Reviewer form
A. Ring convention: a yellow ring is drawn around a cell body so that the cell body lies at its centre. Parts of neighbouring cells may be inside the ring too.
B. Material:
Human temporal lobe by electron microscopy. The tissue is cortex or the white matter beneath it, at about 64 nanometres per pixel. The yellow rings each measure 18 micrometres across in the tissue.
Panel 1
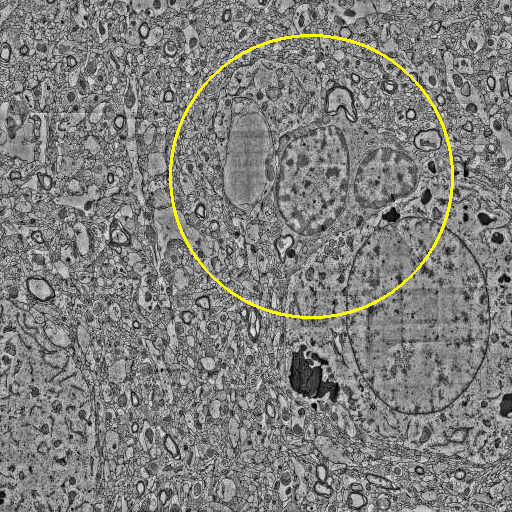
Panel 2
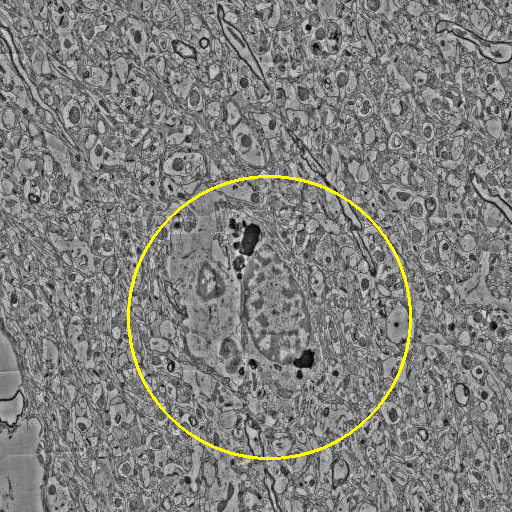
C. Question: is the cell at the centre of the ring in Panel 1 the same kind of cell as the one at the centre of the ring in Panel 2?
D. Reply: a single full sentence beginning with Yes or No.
Yes, the cells in Panel 1 and Panel 2 are the same kind of cell.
